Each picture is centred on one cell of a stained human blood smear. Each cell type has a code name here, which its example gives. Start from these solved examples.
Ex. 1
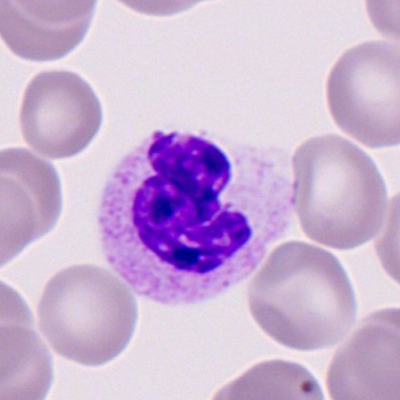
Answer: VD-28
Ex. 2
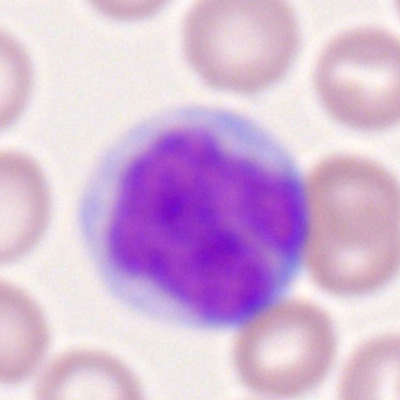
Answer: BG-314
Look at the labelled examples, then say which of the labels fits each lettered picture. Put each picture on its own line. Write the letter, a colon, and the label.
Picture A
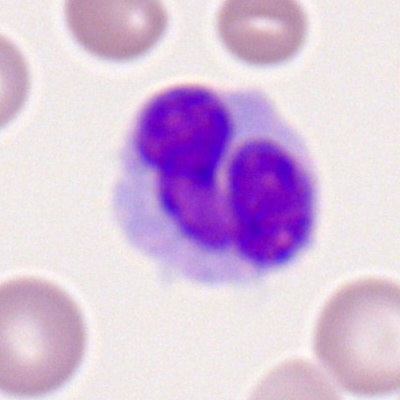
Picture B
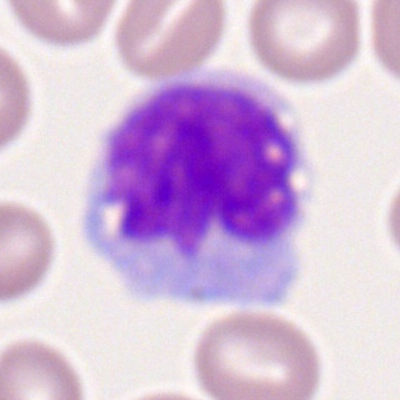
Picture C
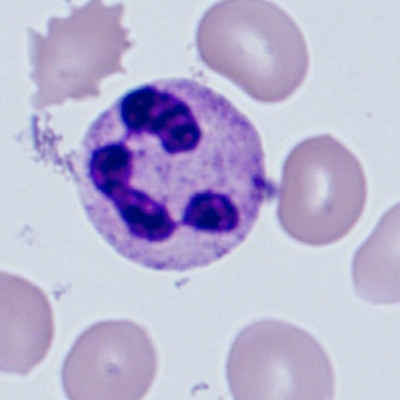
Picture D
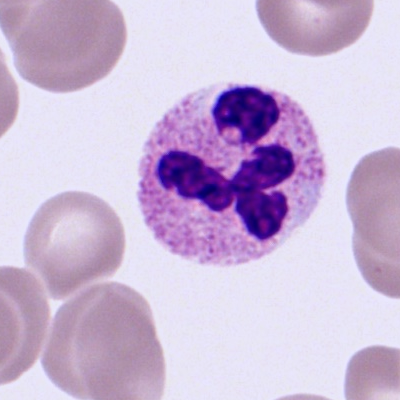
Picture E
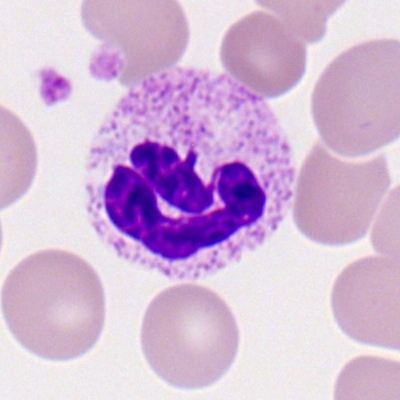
A: BG-314
B: BG-314
C: VD-28
D: VD-28
E: VD-28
